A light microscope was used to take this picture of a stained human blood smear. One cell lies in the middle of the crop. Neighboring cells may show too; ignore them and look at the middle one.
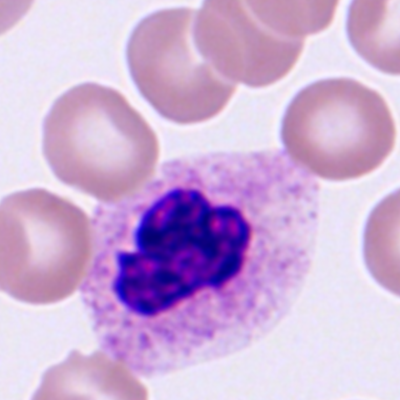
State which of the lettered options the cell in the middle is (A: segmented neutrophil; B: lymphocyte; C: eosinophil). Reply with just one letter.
A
